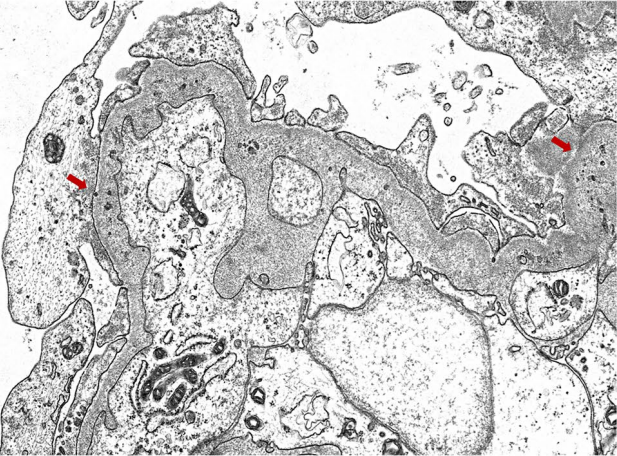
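This is an electron micrograph of a glomerular capillary wall, with the capillary lumen and endothelial cytoplasm below and the urinary space with epithelial cell processes above. The glomerular capillary basement membrane is a broad grey band of uneven thickness running across the field. Epithelial cell processes rest on the outer surface of the band.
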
